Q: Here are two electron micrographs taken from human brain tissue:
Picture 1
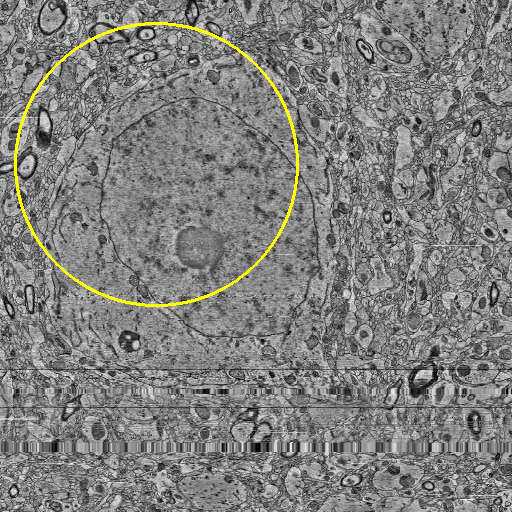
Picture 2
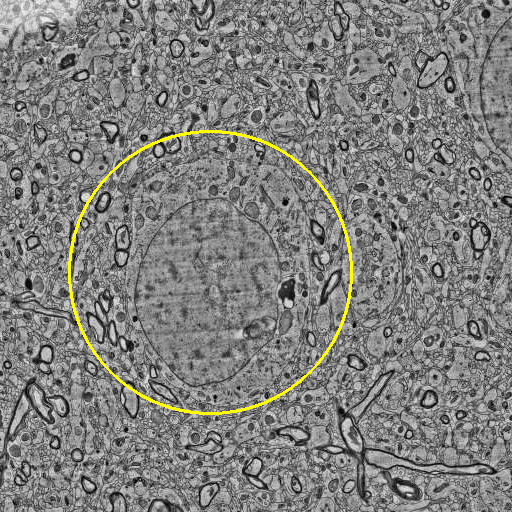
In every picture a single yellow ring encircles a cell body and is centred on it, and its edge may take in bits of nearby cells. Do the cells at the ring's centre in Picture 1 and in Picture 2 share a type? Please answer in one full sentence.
Yes, the cells at the ring's centre in Picture 1 and Picture 2 share a type.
